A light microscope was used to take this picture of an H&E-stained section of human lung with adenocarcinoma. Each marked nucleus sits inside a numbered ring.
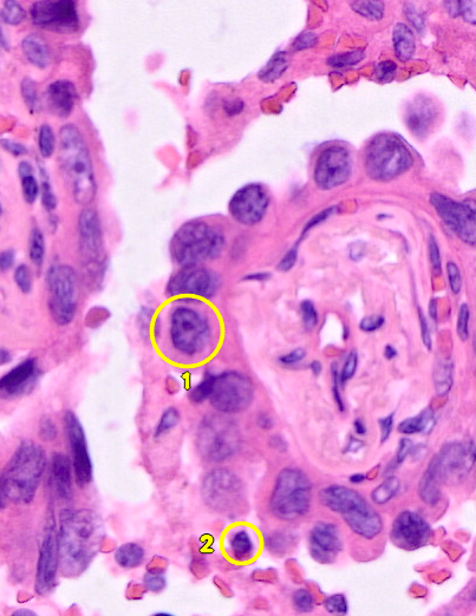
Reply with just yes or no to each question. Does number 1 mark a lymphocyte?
no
